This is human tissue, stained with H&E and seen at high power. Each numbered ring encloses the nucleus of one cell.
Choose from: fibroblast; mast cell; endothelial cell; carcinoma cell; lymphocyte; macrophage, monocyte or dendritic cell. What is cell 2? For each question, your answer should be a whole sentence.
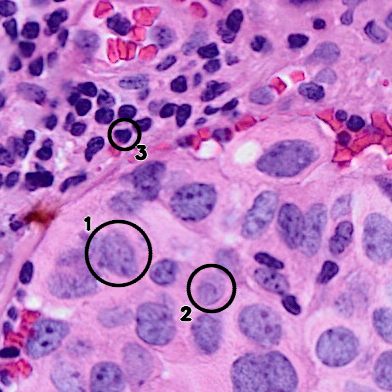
The mark numbered 2 indicates the nucleus of a carcinoma cell.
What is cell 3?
The cell to which the number 3 is assigned is a lymphocyte.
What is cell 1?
At number 1, the marked cell is a carcinoma cell.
